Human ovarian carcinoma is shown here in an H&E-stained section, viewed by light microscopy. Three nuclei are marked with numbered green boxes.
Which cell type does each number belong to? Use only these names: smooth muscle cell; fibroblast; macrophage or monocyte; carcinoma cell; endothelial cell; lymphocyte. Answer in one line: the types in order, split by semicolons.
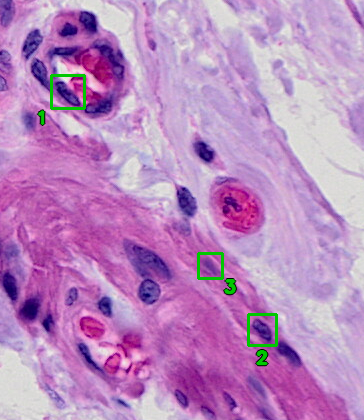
endothelial cell; smooth muscle cell; smooth muscle cell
